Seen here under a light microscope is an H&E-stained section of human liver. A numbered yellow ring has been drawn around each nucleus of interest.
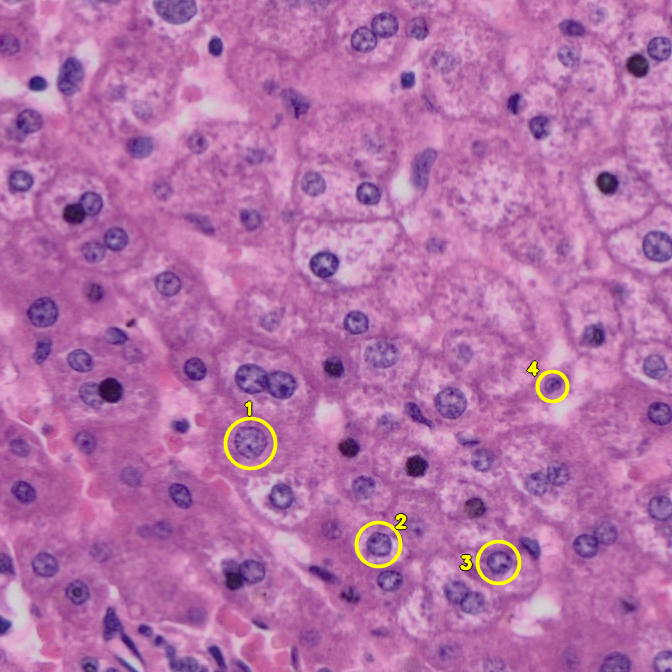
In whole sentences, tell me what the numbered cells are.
Cells 1, 2 and 3 are hepatocytes. Cell 4 is a Kupffer cell.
